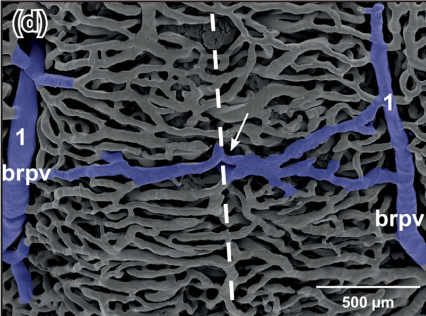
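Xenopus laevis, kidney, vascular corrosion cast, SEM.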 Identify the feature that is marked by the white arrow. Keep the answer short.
Anastomosis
